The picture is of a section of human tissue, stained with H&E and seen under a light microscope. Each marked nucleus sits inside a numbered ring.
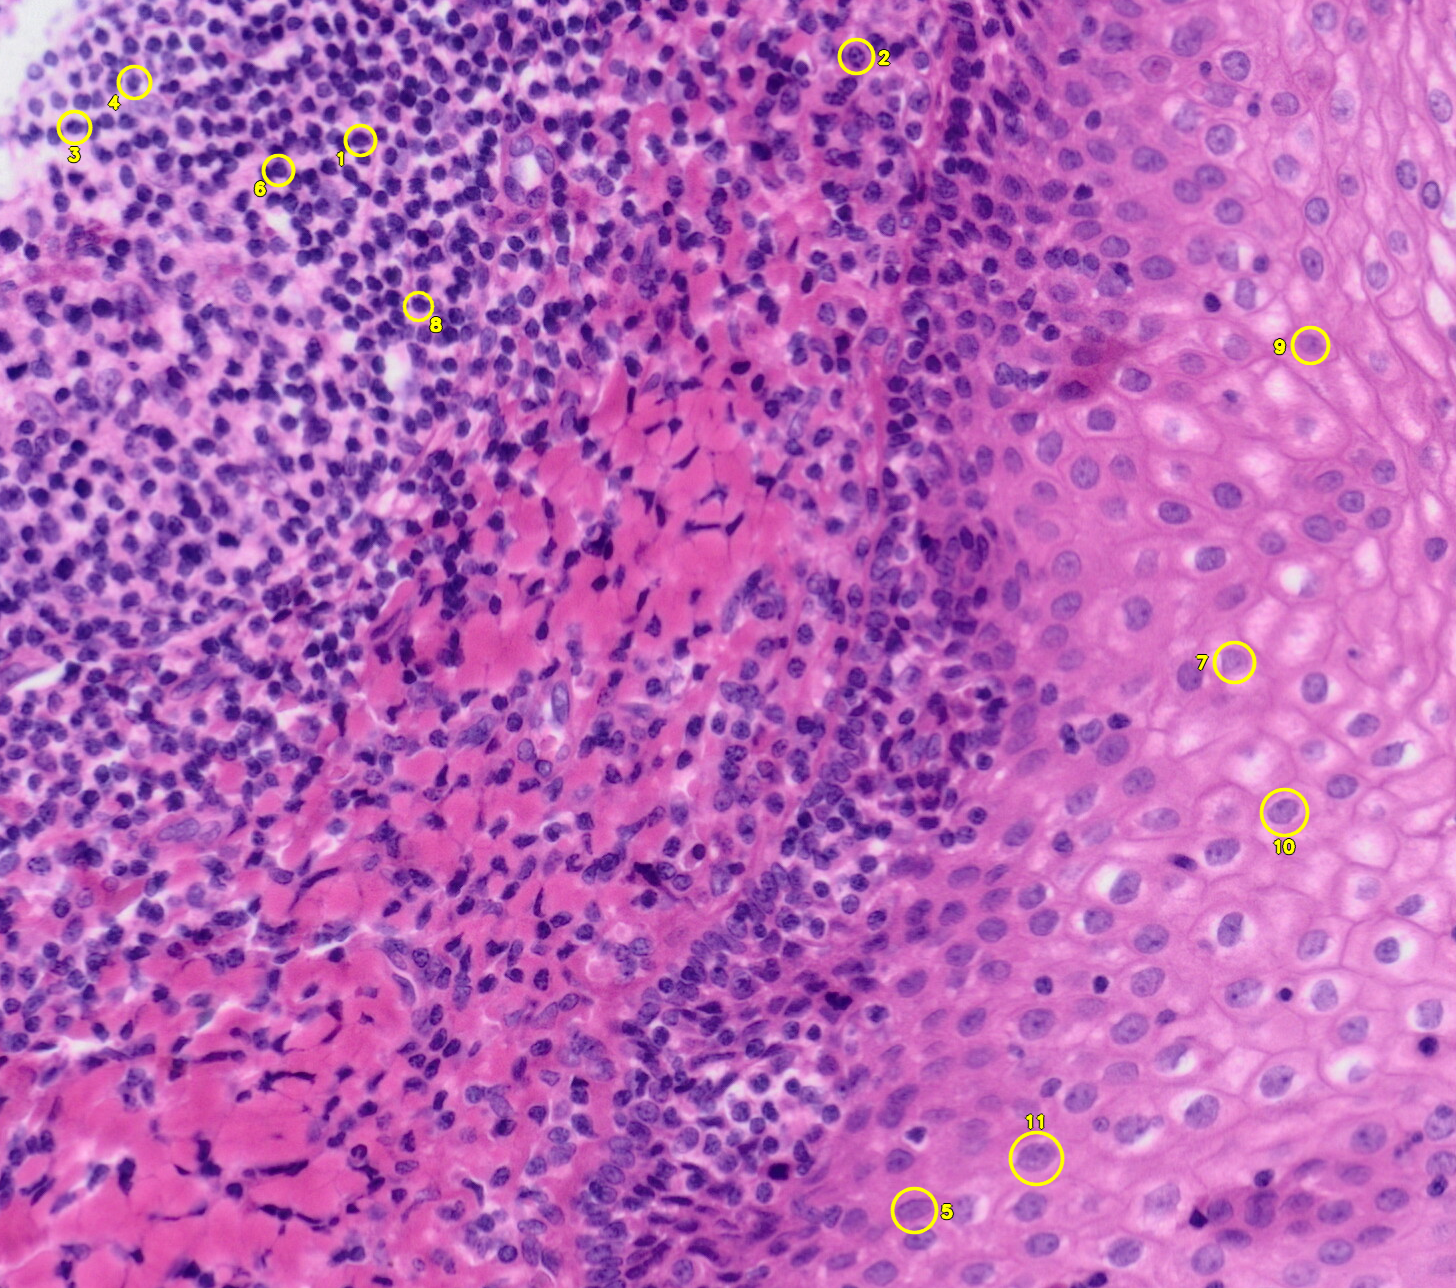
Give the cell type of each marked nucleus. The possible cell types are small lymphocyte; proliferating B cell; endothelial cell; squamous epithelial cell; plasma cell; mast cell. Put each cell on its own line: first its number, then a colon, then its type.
1: small lymphocyte
2: plasma cell
3: small lymphocyte
4: small lymphocyte
5: squamous epithelial cell
6: small lymphocyte
7: squamous epithelial cell
8: small lymphocyte
9: squamous epithelial cell
10: squamous epithelial cell
11: squamous epithelial cell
